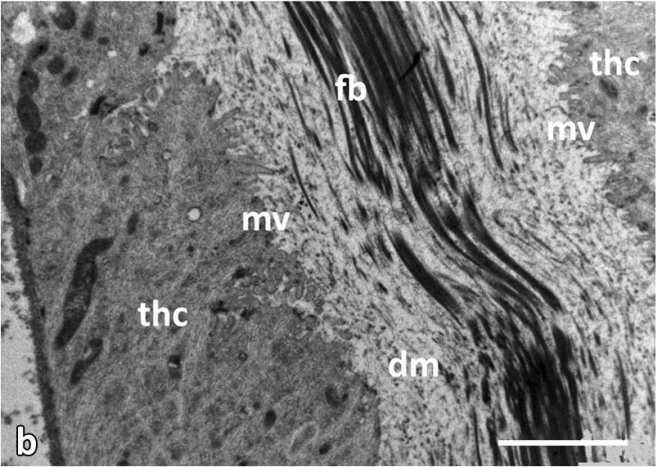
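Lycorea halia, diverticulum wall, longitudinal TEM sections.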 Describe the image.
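This electron micrograph shows a fibril bundle running between two thread cells. The bundle consists of dark, long, wavy fibrils that lie parallel to one another within a pale, diffuse material. The cytoplasm of the thread cells contains elongated, dark mitochondria-like organelles.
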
